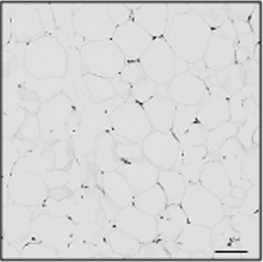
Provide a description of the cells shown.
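Adipose tissue of large adipocytes arranged in a coarse honeycomb. The cells are clear, polygonal spaces separated by thin membranous rims and vary noticeably in size. Sparse small dark nuclei lie flattened at the periphery of cells, often at the corners where septa meet. Few cells fill the field compared with a tissue of small adipocytes.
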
